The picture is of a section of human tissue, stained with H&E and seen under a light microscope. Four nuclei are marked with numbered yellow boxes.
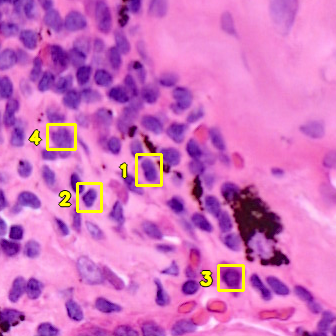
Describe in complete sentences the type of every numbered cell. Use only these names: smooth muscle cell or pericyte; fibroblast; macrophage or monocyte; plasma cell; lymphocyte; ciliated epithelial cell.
Cell 1 is a lymphocyte, cell 2 is a lymphocyte, cell 3 is a plasma cell and cell 4 is a lymphocyte.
